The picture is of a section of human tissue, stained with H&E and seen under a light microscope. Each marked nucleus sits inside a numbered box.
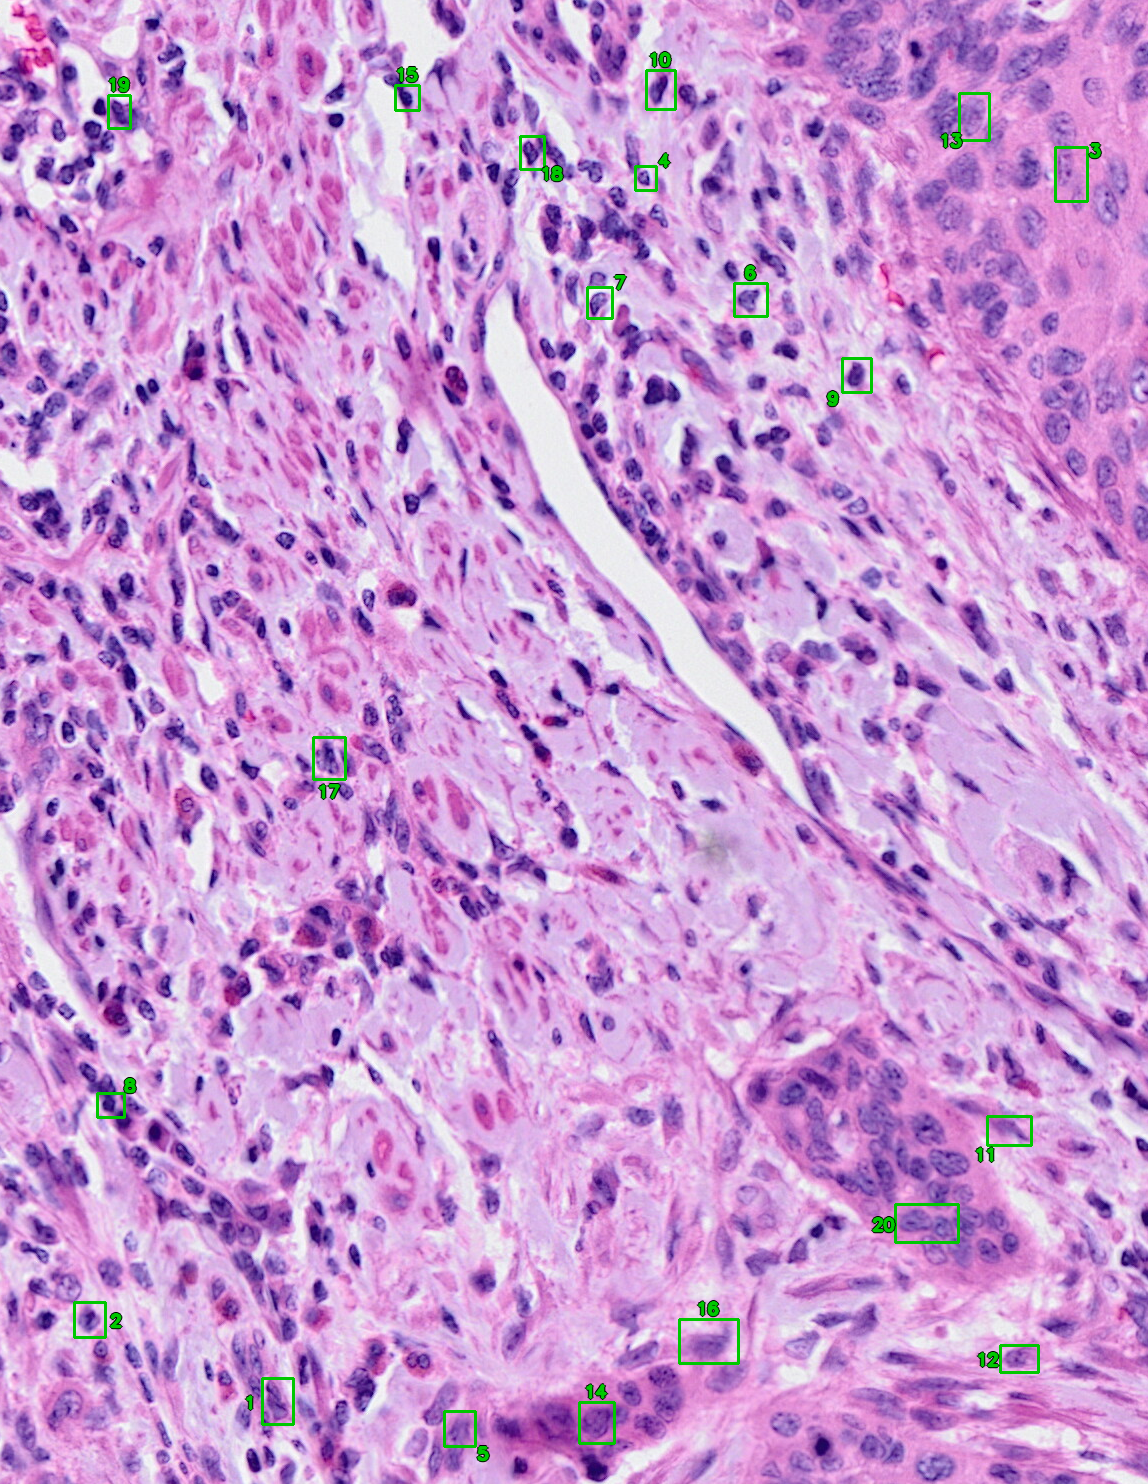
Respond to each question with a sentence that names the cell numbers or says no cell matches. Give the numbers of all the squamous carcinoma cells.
The cells with labels 3, 13, 14 and 20 are squamous carcinoma cells.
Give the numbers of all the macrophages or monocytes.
Exactly one of the numbered cells is a macrophage or monocyte, namely cell 12.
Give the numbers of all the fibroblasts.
The cells carrying labels 11 and 16 are fibroblasts.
